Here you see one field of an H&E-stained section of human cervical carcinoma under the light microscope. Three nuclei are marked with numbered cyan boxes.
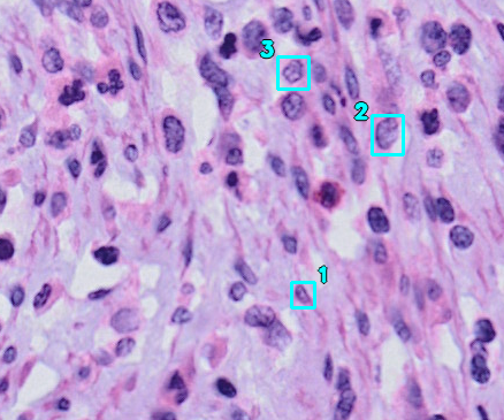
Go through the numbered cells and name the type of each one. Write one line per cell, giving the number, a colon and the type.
1: fibroblast
2: macrophage or monocyte
3: macrophage or monocyte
